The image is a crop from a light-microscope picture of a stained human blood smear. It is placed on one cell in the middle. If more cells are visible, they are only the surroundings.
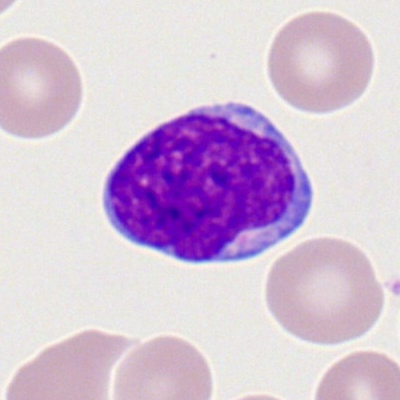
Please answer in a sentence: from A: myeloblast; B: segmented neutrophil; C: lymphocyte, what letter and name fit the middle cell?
The cell at the centre, correctly named in option A, is a myeloblast.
